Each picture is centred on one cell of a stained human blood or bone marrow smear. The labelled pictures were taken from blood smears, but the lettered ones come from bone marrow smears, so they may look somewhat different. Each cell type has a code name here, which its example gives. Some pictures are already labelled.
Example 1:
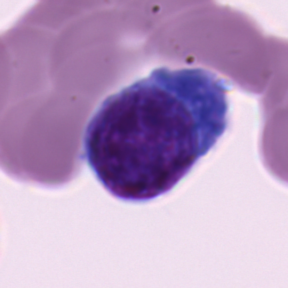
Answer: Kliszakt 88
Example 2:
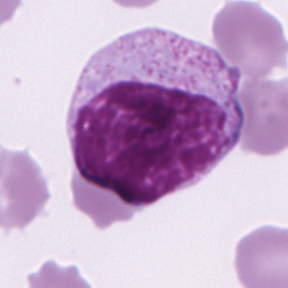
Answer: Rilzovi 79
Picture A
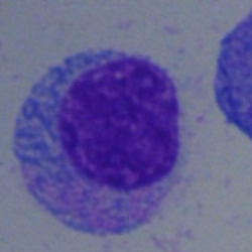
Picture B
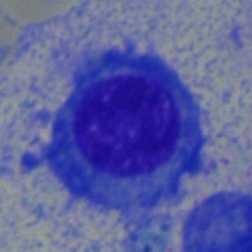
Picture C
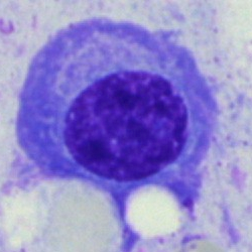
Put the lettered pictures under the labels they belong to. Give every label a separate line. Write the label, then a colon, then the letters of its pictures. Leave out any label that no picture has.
Kliszakt 88: B, C
Rilzovi 79: A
